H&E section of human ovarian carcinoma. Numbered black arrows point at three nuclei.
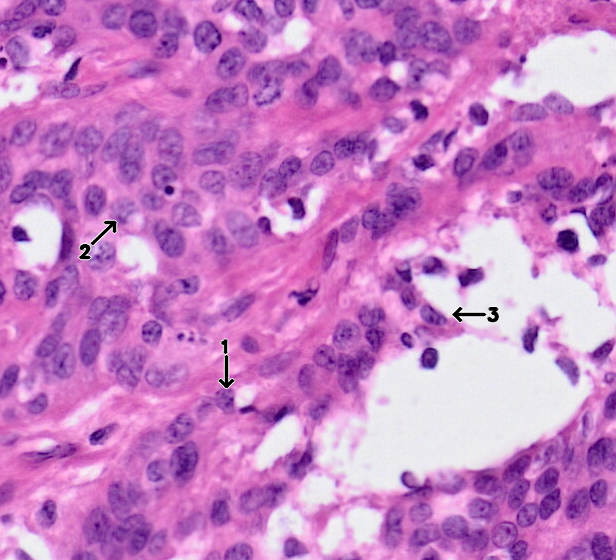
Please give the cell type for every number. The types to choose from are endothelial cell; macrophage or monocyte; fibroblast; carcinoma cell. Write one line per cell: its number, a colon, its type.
1: macrophage or monocyte
2: carcinoma cell
3: macrophage or monocyte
